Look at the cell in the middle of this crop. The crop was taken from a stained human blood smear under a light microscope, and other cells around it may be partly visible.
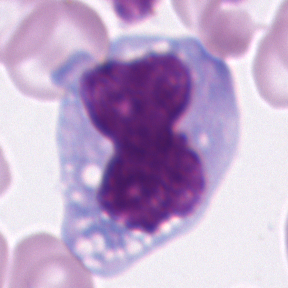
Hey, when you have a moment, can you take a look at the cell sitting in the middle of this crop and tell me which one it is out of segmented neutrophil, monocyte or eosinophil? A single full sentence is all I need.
The centered cell in this crop is a monocyte.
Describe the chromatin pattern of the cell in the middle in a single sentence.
The chromatin remains finely textured, with no coarse clumps to speak of.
